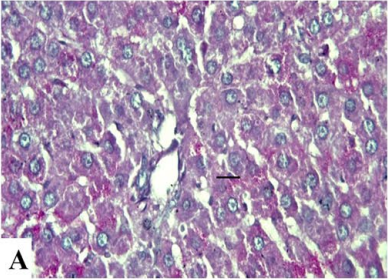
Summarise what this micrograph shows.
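Here is liver tissue with hepatocytes lined up in cords that radiate from a small central vessel, with narrow pale spaces, the sinusoids, running between them. Each hepatocyte is a large polygonal cell with a round, pale blue nucleus and a distinct dark nucleolus; a few cells seem to hold two nuclei. The cytoplasm is filled with fine granules staining a bright magenta, densest in patches across the field and somewhat lighter near the vessel. The vessel itself is a thin, irregular space lined by flat cells with a little bluish connective tissue around it.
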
